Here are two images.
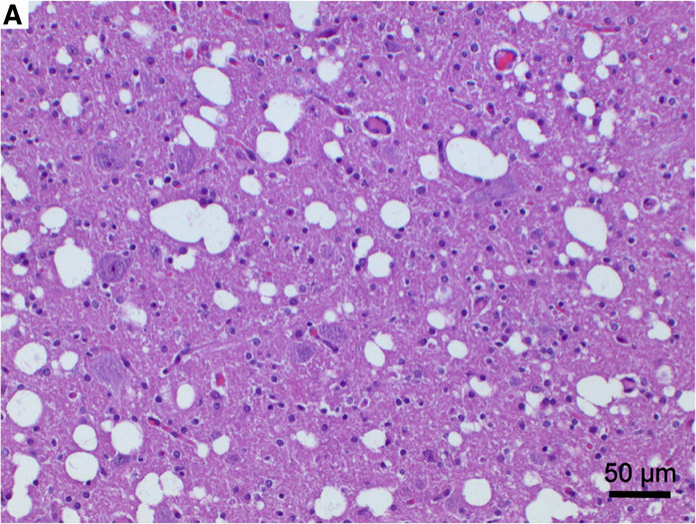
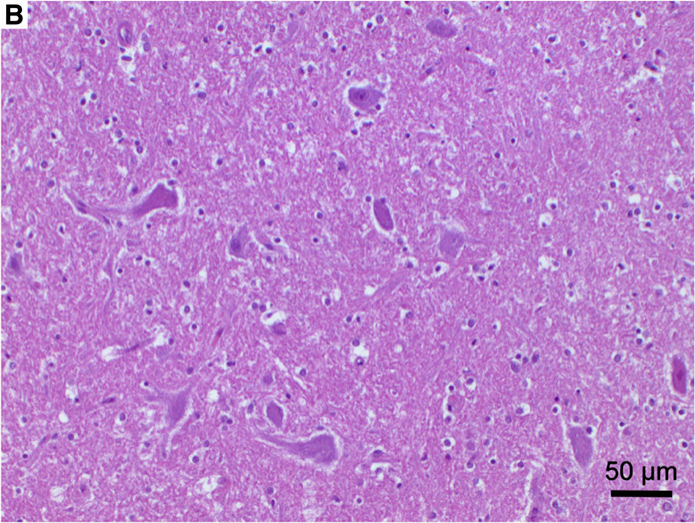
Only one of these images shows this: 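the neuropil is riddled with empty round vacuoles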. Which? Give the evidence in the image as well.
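The first image. Second image: the pink neuropil is continuous, with only small clear halos around some nuclei. First image: numerous sharply defined empty white holes of many sizes fill the neuropil.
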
